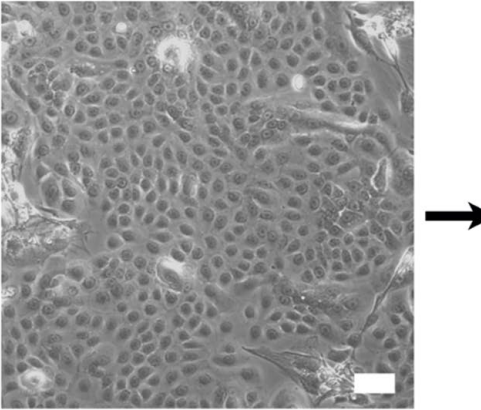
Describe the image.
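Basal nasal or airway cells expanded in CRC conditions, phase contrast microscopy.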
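The cells are polygonal and fit tightly against one another in a cobblestone pattern. Each has one rounded, darker nucleus near its centre, surrounded by a pale rim of cytoplasm. Along the edges of the field a few elongated, spindle-shaped cells lie outside the sheet.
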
